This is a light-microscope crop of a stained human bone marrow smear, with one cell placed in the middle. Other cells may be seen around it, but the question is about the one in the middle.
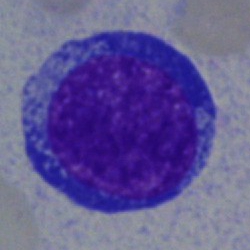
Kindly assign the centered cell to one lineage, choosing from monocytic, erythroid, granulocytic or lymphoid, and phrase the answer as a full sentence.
Within the erythroid lineage lies the cell at the center of the crop.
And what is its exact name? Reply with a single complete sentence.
The central cell, amid any neighbouring cells, is a proerythroblast.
